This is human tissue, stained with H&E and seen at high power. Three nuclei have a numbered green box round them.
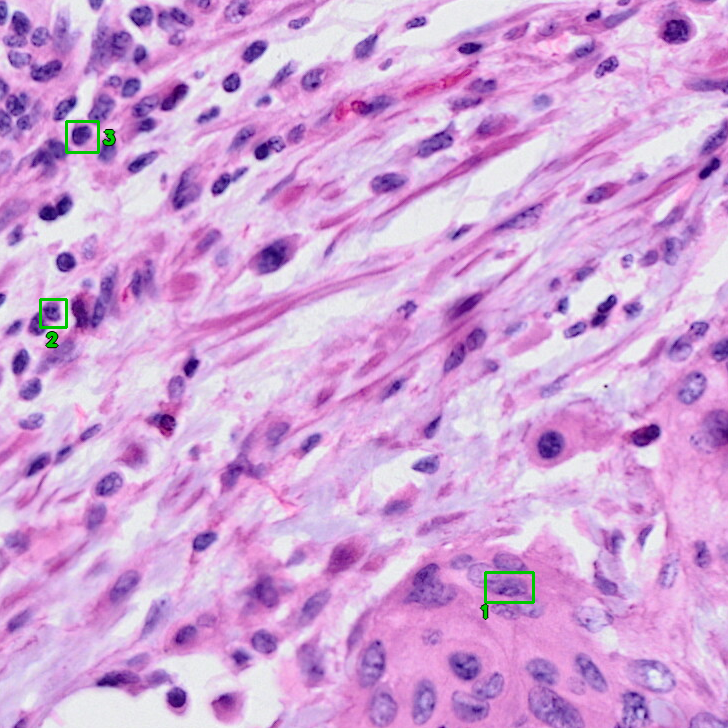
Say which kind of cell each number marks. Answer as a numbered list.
1. squamous carcinoma cell
2. lymphocyte
3. lymphocyte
